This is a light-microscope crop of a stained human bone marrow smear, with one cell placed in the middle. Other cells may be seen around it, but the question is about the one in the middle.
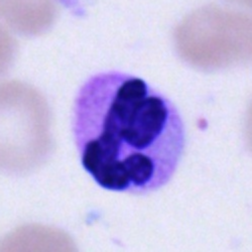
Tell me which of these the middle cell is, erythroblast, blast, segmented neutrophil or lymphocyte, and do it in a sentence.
Seen at the centre of the crop is a segmented neutrophil.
